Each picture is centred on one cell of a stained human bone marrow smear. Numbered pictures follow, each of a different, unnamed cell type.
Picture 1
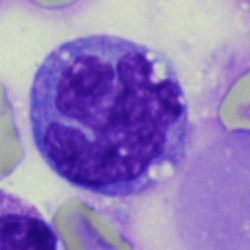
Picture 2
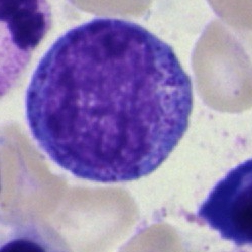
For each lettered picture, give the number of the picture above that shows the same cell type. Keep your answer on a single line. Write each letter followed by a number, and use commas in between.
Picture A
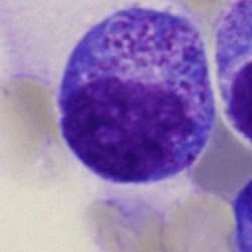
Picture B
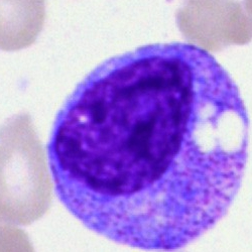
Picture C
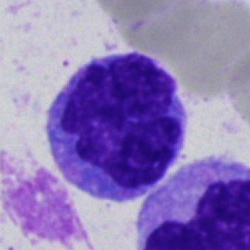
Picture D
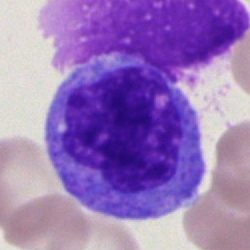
A 2, B 2, C 1, D 1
